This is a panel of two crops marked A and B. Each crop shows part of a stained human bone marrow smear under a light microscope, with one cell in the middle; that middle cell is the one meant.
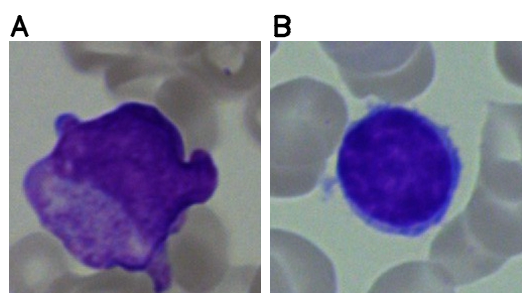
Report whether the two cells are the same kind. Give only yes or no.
no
